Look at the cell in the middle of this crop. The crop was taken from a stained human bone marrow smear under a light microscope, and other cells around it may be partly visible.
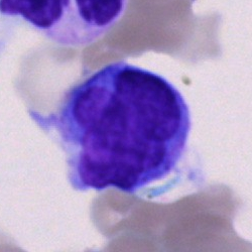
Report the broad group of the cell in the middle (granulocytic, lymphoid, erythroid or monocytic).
monocytic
